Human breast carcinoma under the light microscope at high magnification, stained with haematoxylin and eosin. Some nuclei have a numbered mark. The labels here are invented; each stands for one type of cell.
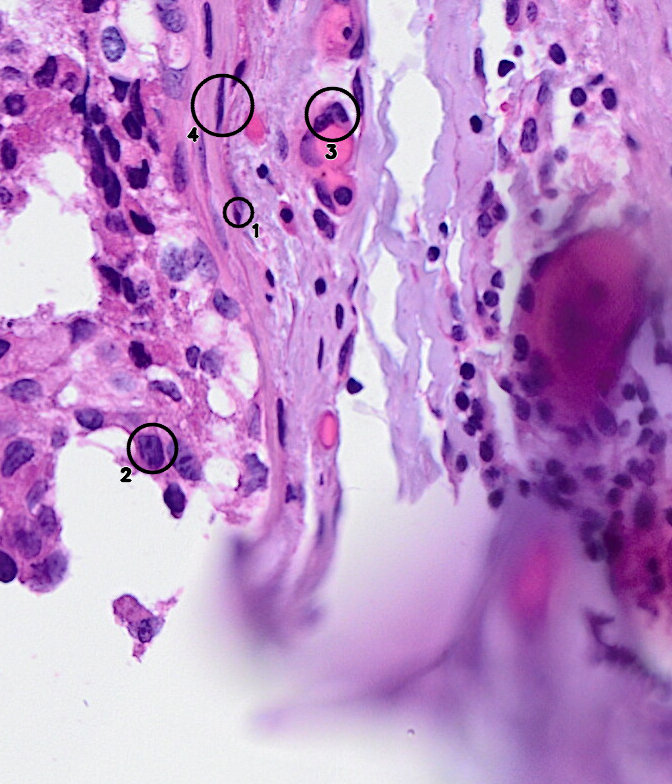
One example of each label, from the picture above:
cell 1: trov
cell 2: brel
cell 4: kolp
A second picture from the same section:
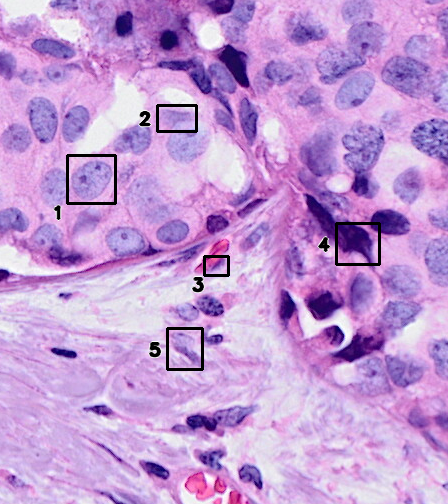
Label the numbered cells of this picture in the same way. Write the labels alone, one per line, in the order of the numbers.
brel
brel
trov
brel
kolp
